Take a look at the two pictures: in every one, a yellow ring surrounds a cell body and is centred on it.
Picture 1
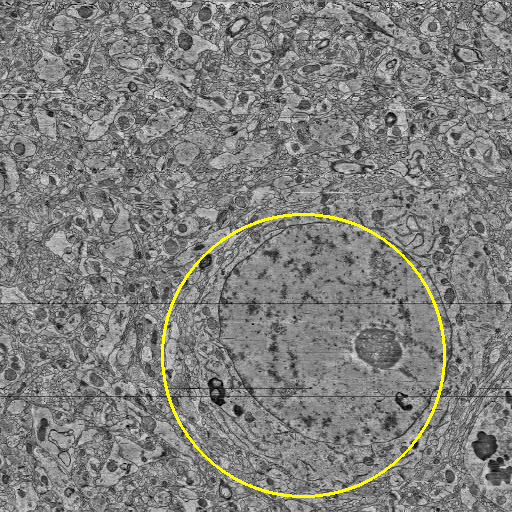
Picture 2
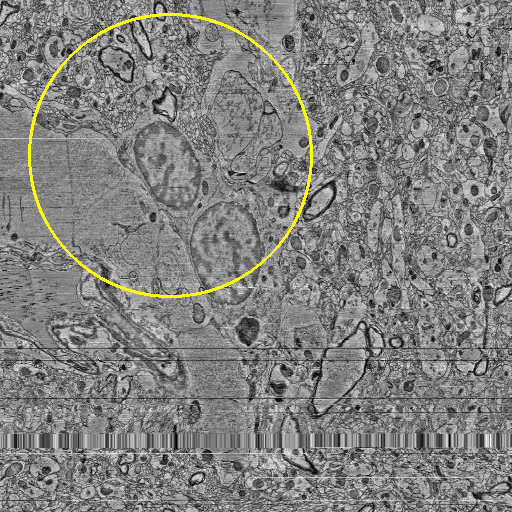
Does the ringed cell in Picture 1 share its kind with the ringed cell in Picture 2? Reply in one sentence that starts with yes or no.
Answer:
No, the two centred cells, one per picture, are of two kinds.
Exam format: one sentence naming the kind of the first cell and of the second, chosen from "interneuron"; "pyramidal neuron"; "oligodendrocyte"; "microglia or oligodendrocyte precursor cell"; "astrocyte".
The first picture's cell is a pyramidal neuron, and the second picture's cell is an oligodendrocyte.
